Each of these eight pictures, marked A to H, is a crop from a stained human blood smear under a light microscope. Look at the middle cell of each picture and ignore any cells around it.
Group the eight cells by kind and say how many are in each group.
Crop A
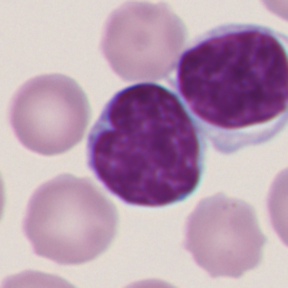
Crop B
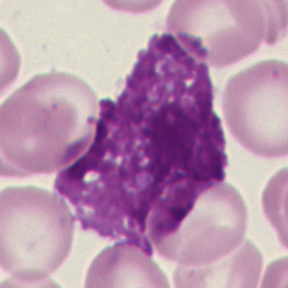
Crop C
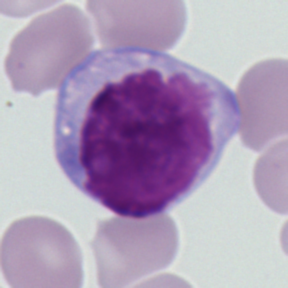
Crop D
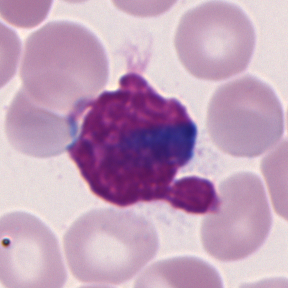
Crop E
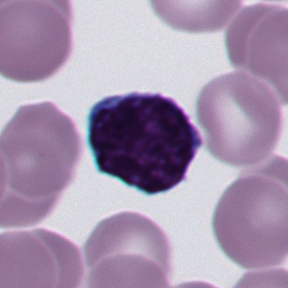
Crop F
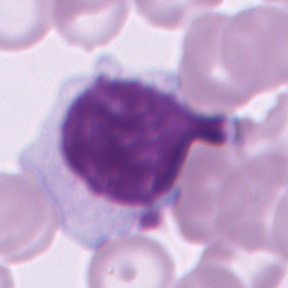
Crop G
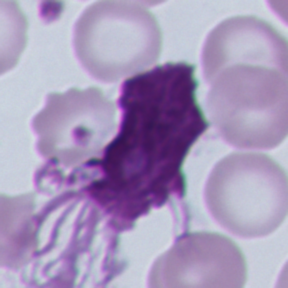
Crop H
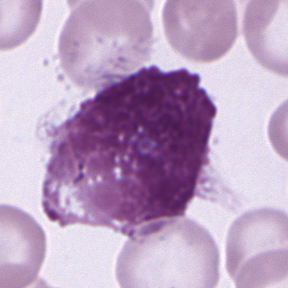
typical lymphocyte: 4
smudge cell: 4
